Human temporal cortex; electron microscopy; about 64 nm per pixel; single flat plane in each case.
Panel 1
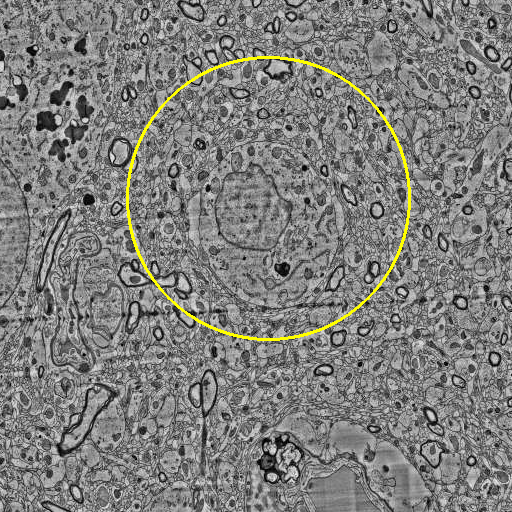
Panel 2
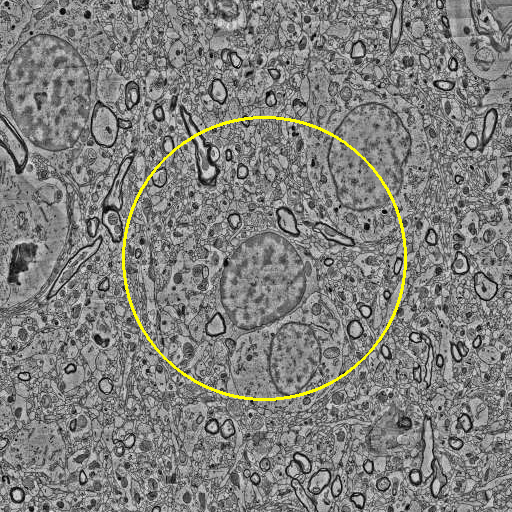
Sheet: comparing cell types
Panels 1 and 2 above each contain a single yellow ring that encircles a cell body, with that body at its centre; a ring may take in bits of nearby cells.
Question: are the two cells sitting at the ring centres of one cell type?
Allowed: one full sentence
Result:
No, the ring-centre cells in Panel 1 and Panel 2 are of two types.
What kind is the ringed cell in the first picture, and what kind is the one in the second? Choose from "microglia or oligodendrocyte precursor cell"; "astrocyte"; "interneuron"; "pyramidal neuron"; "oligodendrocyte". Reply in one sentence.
The first cell is a pyramidal neuron; the second is an oligodendrocyte.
